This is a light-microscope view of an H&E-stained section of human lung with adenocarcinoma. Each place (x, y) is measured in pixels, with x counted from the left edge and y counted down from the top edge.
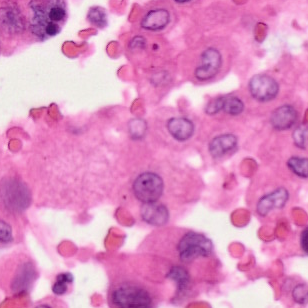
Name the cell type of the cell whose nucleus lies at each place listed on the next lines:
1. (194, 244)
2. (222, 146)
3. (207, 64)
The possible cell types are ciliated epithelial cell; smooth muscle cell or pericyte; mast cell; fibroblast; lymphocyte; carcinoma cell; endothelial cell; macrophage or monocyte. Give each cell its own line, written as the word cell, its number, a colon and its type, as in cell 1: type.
cell 1: carcinoma cell
cell 2: macrophage or monocyte
cell 3: macrophage or monocyte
